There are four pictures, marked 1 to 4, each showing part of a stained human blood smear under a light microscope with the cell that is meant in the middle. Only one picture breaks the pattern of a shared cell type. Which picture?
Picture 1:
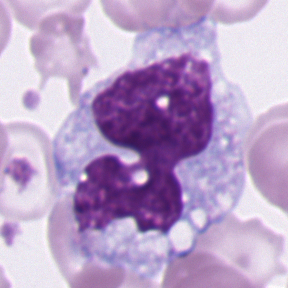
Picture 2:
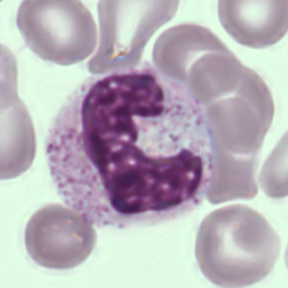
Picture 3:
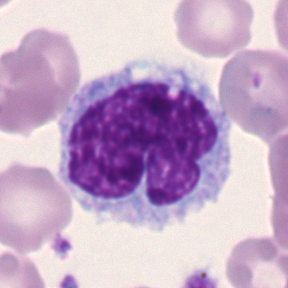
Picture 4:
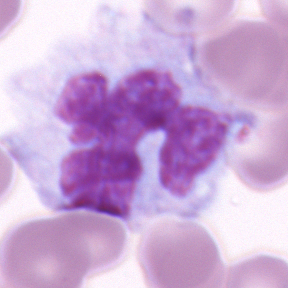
2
